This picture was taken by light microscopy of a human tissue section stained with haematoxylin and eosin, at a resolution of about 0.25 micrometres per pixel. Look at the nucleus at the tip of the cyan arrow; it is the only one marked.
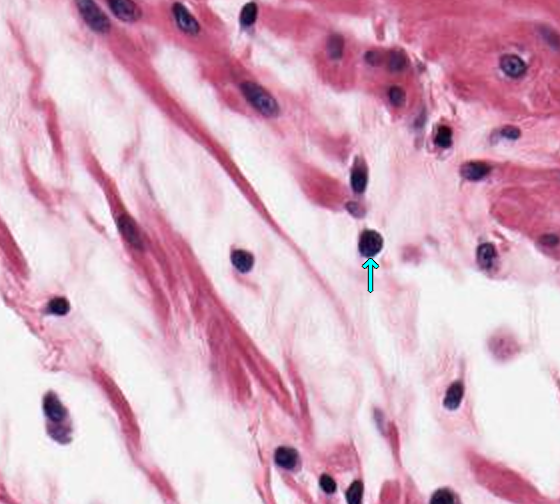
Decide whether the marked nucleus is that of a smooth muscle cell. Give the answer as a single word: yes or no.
no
